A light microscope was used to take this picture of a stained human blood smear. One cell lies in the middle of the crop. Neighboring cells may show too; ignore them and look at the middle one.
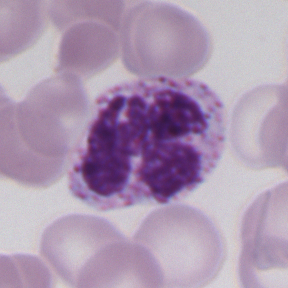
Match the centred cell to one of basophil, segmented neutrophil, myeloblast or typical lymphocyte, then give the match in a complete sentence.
The cell nearest the centre of this crop is a basophil.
